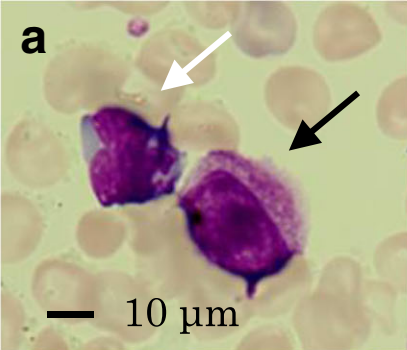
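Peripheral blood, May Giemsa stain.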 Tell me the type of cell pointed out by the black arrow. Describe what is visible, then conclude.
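The arrowed cell is larger than the surrounding red cells. It has a dark purple nucleus and a pink granular cytoplasmic rim. That points to this answer: Megakaryocytes.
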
